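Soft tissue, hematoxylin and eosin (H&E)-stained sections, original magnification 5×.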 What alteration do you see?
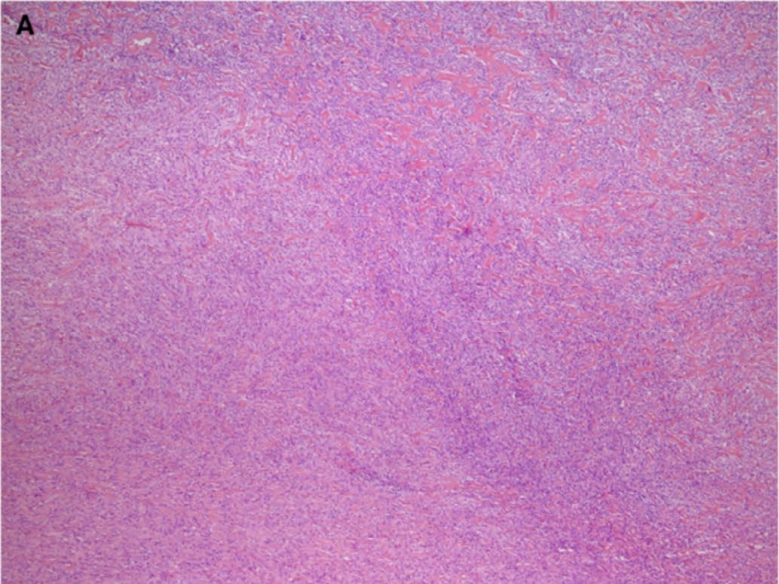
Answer: Diffuse infiltrate.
